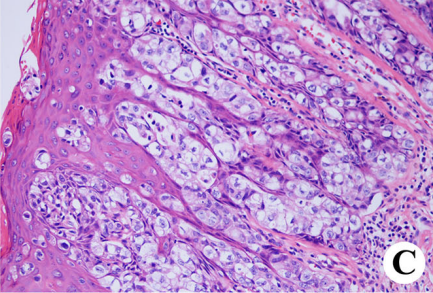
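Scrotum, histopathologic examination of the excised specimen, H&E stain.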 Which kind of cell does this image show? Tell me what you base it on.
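Large cells with abundant pale, clear cytoplasm lie within the squamous epithelium. Their nuclei are enlarged, dark and vary in shape. They are distinct from the surrounding pink-staining keratinocytes. That points to this answer: Paget cells.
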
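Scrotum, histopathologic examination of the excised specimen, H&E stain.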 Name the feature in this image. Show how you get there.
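Nest-like structures. The clear cells cluster in rounded groups. The groups are separated by strands of pink squamous epithelium and stroma.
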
